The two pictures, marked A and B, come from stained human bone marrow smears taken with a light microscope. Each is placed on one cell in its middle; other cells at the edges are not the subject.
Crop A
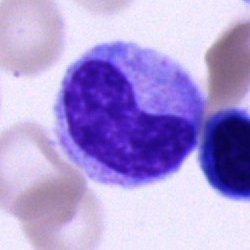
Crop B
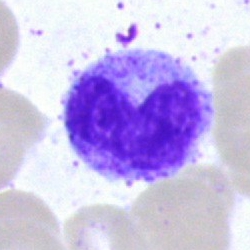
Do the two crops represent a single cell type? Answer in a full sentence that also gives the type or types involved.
Yes, for both crops, the central cells are metamyelocytes.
